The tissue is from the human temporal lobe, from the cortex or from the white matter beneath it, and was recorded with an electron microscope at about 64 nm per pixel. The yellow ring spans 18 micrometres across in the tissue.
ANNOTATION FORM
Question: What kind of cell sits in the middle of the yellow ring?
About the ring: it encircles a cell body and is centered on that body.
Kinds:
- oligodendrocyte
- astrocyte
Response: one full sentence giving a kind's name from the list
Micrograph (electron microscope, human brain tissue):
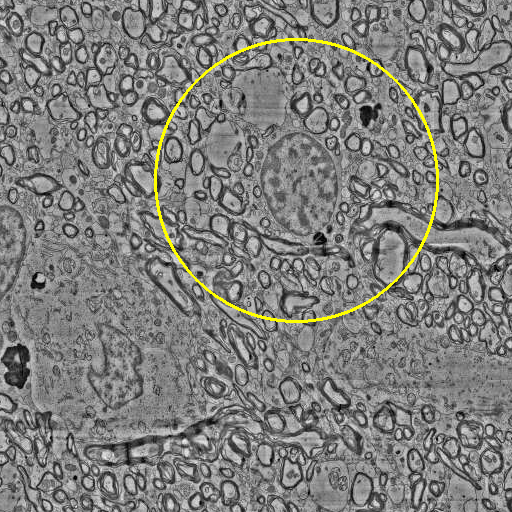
The kind of cell found at the center of the yellow ring in the micrograph is an oligodendrocyte.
